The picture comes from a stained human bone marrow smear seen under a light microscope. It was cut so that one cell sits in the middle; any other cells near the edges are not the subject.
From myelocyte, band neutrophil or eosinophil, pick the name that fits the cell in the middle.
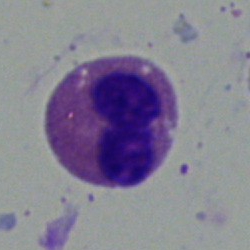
eosinophil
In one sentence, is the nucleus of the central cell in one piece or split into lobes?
One defining trait here is a nucleus of two or more segments.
